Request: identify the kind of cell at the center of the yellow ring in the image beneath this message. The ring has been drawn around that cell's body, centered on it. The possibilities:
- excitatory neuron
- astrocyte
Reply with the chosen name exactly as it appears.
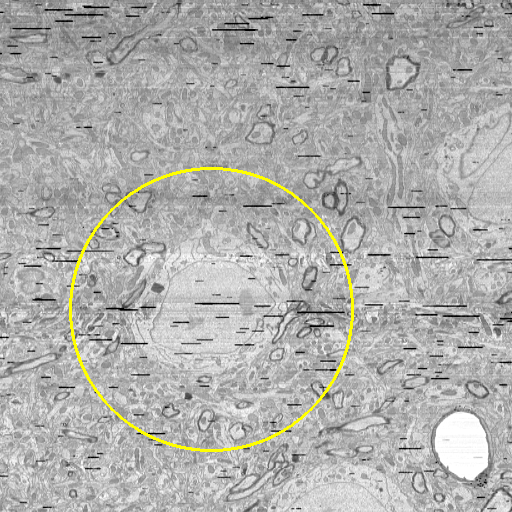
excitatory neuron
